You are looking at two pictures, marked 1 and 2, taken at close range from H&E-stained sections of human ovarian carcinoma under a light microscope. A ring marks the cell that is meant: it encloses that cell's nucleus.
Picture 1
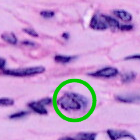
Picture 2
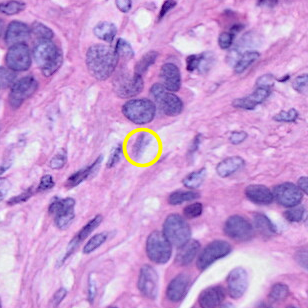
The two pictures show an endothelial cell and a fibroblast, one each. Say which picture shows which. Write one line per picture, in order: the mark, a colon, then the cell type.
1: endothelial cell
2: fibroblast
